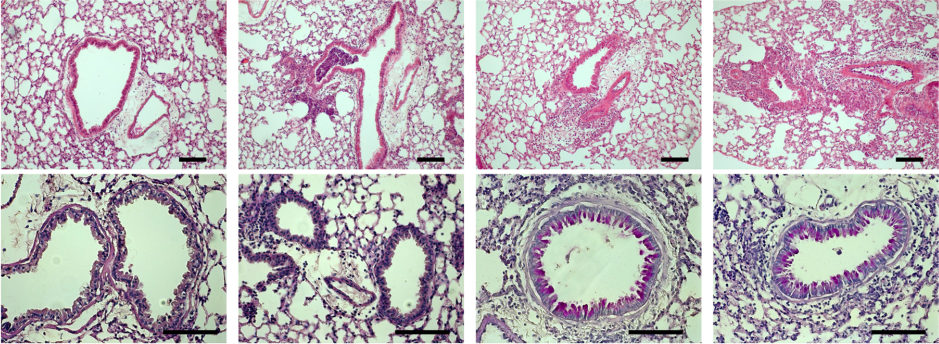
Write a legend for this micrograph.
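In the upper row, some sections show dense clusters of small dark-nucleated inflammatory cells around the airways and vessels, and in one the surrounding alveolar spaces are partly filled. In the lower row, the airways are lined by columnar epithelium. In two of the lower-row images, many of the lining cells are filled with magenta-stained mucus, while the airway linings in the other two lower-row images show no magenta staining.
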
